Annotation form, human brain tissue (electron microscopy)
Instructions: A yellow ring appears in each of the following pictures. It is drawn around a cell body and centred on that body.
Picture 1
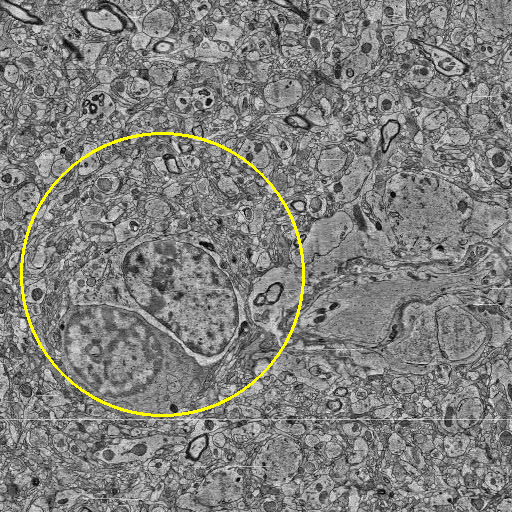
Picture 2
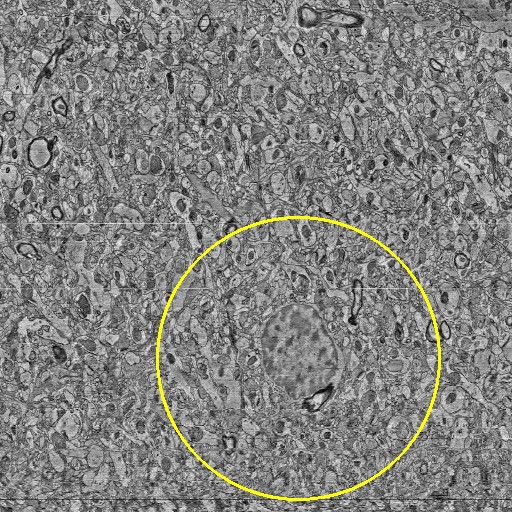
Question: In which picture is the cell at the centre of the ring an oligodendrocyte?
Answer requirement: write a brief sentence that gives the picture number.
The cell at the centre of the ring in Picture 2 is the one asked for.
